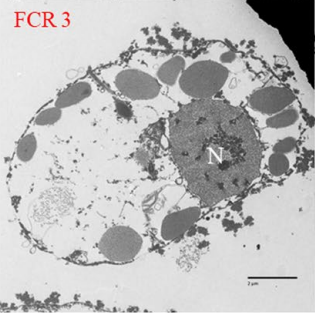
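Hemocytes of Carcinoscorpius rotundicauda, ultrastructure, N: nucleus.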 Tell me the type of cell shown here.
Hyaline cell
